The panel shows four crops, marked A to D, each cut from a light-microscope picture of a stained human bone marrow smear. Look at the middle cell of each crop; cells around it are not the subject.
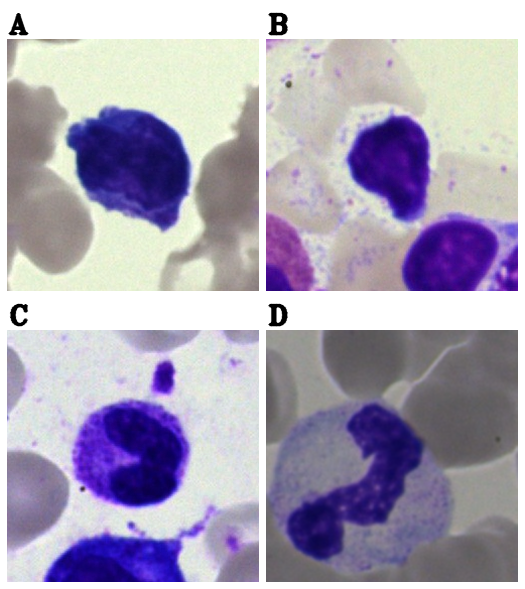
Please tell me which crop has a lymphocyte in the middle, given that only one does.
B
